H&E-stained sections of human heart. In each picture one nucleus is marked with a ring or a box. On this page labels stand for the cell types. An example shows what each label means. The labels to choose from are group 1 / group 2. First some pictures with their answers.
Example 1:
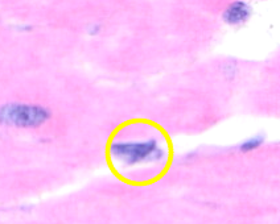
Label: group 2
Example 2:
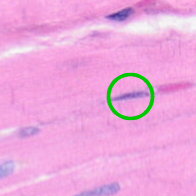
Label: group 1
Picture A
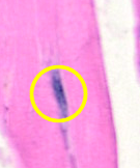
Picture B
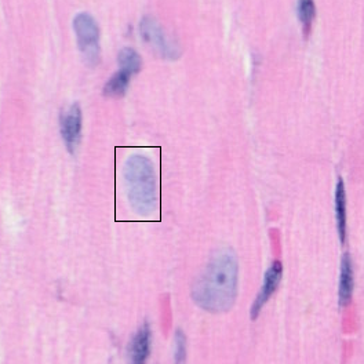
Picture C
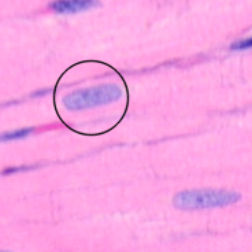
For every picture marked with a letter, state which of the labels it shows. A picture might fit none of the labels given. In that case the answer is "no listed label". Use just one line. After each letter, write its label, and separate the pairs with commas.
A group 1, B no listed label, C no listed label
